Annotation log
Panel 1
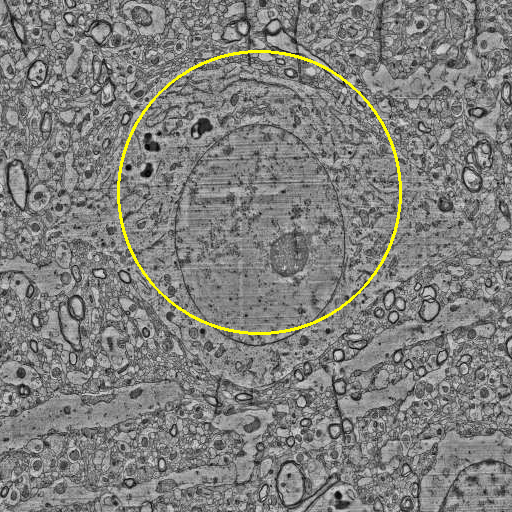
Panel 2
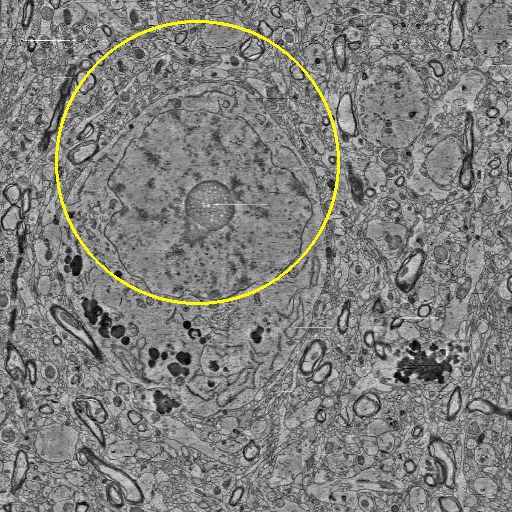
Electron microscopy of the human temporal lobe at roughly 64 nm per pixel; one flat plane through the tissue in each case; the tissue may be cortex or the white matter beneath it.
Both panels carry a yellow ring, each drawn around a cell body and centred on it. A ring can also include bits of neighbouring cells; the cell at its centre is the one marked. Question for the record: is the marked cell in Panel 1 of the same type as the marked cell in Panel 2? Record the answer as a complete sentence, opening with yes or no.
Yes, the marked cells in Panel 1 and Panel 2 are of the same type.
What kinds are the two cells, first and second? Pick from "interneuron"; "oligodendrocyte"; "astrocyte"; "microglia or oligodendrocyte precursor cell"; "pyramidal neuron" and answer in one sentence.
In the first picture and in the second, the ring is centred on a pyramidal neuron.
